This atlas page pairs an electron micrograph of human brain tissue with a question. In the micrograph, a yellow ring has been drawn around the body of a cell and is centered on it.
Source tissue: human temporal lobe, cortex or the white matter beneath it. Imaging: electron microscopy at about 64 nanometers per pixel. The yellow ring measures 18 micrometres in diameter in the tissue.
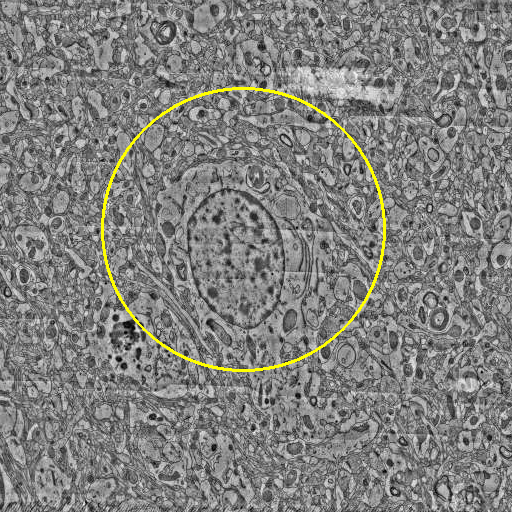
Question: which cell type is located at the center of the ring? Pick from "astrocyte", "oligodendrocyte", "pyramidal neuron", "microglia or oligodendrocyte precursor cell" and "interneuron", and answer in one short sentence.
Located at the center of the ring is an astrocyte.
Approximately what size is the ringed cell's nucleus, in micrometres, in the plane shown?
In this plane, the nucleus is roughly 9 by 6 micrometres.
